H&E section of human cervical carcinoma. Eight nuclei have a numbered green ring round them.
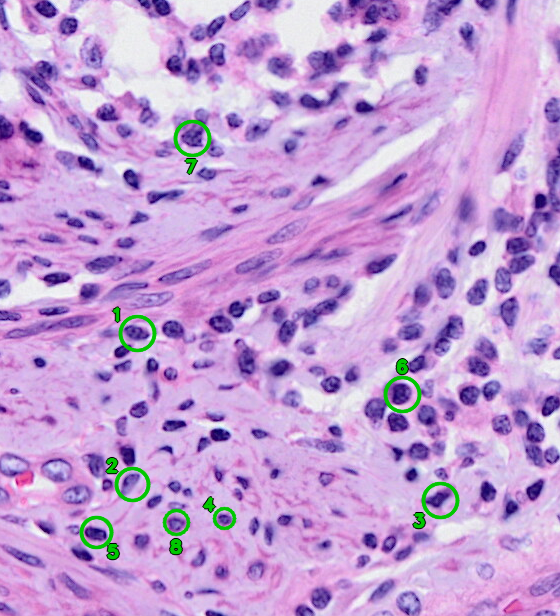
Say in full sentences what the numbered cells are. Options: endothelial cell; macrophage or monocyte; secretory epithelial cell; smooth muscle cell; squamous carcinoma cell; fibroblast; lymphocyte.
Cell 1 is a lymphocyte, cell 2 is a fibroblast, cell 3 is a lymphocyte, cell 4 is a smooth muscle cell, cell 5 is a lymphocyte, cell 6 is a lymphocyte, cell 7 is a lymphocyte and cell 8 is a smooth muscle cell.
